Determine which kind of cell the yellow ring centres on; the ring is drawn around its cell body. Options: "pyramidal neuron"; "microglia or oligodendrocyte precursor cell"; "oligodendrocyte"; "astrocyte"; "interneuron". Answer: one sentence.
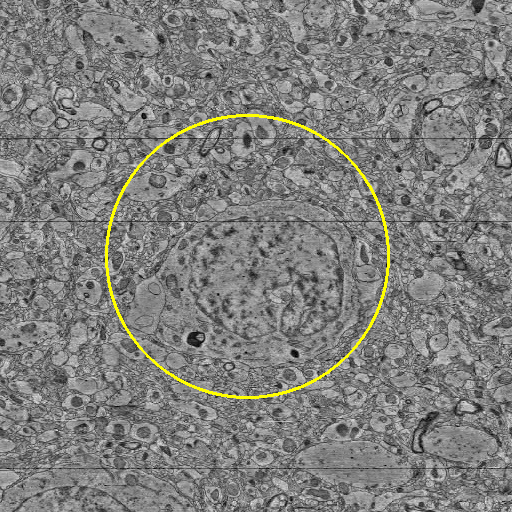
The ring centres on an interneuron.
